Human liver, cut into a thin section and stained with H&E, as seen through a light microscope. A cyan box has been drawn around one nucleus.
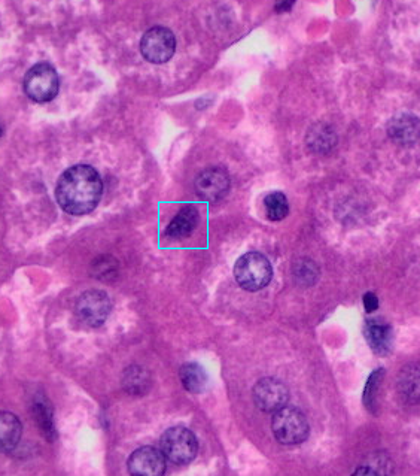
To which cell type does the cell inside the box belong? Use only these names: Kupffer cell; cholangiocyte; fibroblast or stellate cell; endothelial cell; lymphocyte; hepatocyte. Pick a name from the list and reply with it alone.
fibroblast or stellate cell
